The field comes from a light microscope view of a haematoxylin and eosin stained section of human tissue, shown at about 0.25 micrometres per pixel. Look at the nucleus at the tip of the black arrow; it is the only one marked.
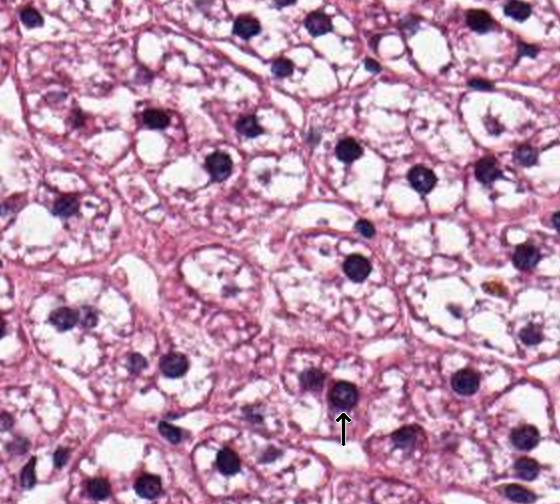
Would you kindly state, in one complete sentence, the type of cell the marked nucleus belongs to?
The mark indicates the nucleus of an adrenal cortical cell.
